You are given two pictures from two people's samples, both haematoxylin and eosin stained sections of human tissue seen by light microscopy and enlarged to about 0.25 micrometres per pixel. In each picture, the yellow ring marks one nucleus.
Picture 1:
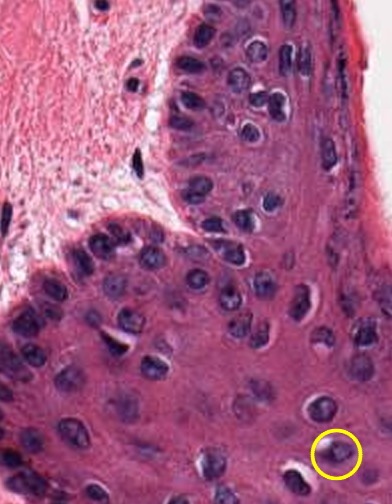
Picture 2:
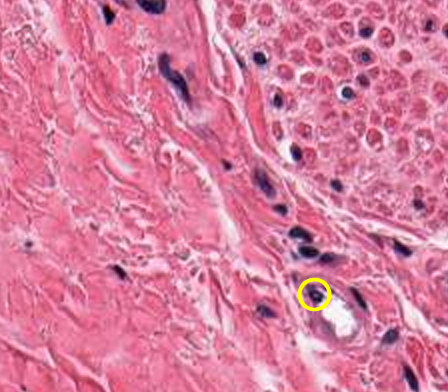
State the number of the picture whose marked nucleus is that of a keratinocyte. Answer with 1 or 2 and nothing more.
1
